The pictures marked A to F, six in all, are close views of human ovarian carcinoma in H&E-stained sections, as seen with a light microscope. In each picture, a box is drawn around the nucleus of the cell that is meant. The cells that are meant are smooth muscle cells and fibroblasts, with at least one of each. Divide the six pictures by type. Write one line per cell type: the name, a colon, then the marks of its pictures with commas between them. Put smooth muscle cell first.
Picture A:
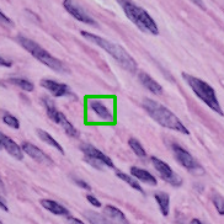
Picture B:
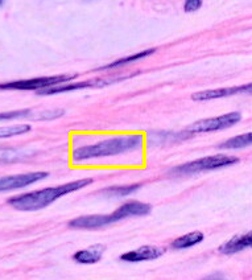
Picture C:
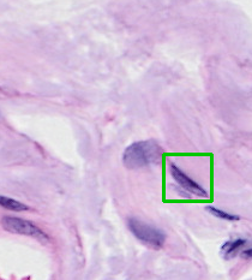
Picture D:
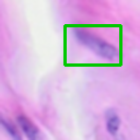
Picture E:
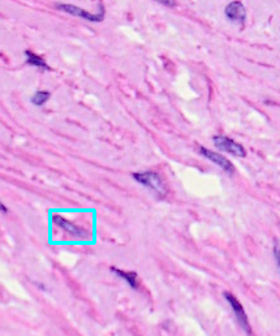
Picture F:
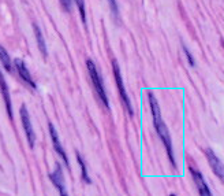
smooth muscle cell: A, B, D
fibroblast: C, E, F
